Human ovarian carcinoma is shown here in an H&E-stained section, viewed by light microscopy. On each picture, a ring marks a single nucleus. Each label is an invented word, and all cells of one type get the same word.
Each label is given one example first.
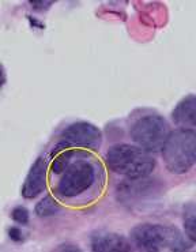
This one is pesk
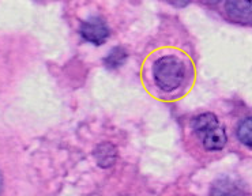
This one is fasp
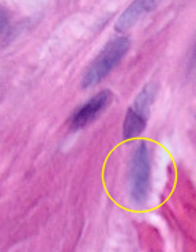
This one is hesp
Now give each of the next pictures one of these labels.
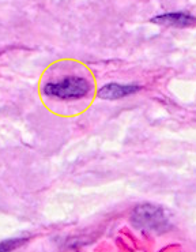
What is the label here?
fasp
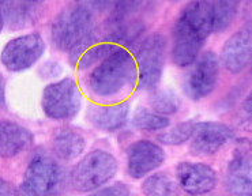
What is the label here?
pesk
